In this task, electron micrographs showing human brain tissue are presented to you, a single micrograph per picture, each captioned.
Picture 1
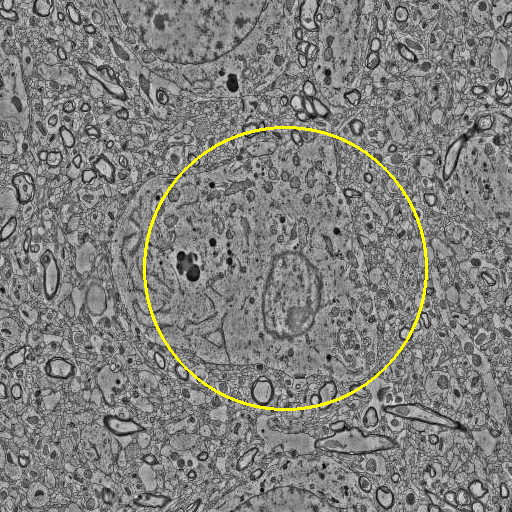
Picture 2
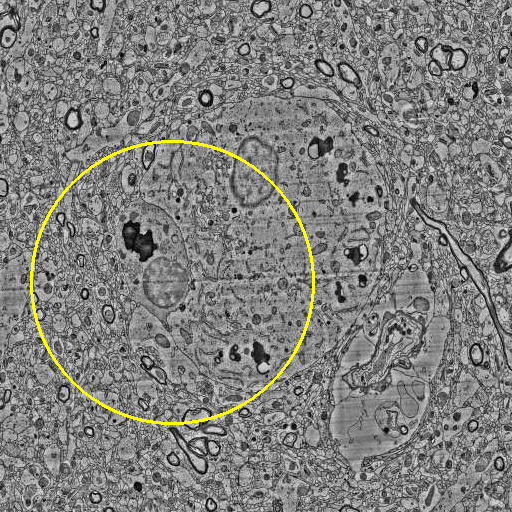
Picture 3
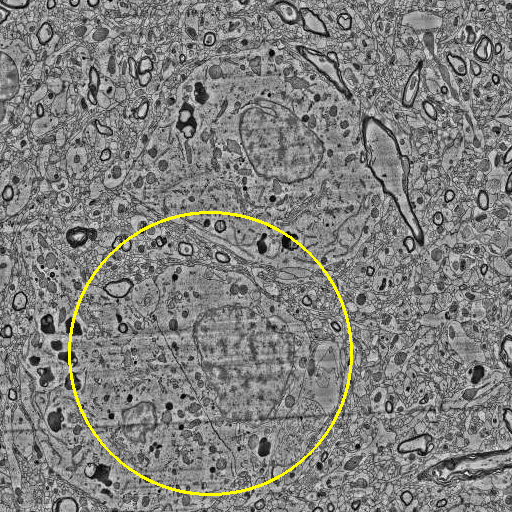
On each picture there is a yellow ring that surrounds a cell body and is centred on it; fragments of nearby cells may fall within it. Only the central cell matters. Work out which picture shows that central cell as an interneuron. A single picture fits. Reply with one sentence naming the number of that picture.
Of all the pictures, number 3 has the right cell in the centre of its ring.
